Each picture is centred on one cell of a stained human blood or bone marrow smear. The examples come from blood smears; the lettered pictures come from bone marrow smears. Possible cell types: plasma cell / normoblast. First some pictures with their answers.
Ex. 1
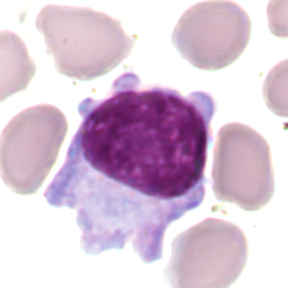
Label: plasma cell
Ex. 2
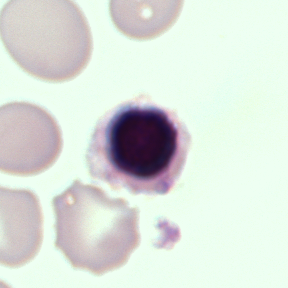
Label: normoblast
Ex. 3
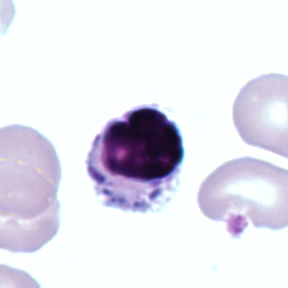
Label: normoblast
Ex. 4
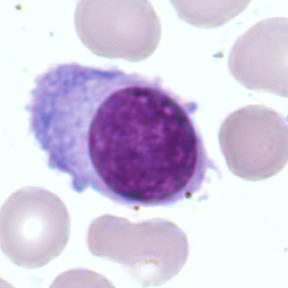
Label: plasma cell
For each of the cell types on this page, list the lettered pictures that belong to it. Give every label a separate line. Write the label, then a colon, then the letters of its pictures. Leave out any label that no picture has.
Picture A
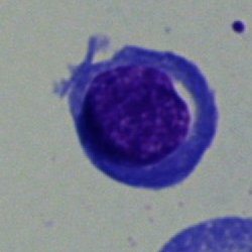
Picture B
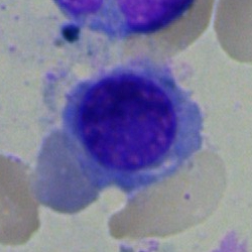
plasma cell: A
normoblast: B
